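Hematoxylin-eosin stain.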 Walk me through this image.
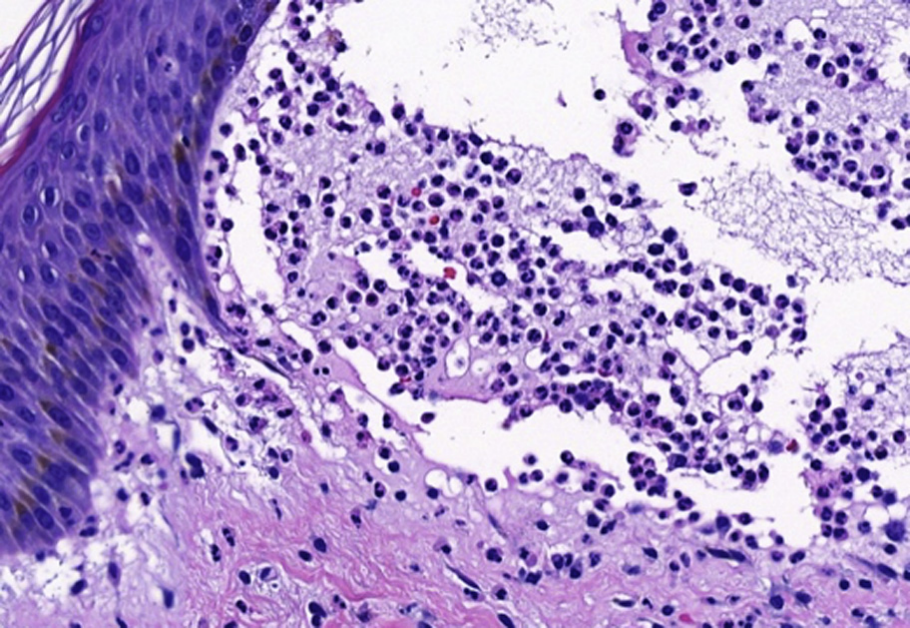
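This is skin with a blister that lies beneath the epidermis, filled with inflammatory cells. At upper left, the epidermis shows stacked purple keratinocytes beneath a thin pink keratin layer, with a few brown-pigmented cells at its base. To the right of and beneath it, a wide cleft separates the epidermis from the dermis. The cleft holds pale pink fibrillar material in which many small round cells with dense, dark nuclei lie singly and in loose sheets. Below, the dermis is made of pink collagen bundles, with more scattered inflammatory cells along the blister floor.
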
